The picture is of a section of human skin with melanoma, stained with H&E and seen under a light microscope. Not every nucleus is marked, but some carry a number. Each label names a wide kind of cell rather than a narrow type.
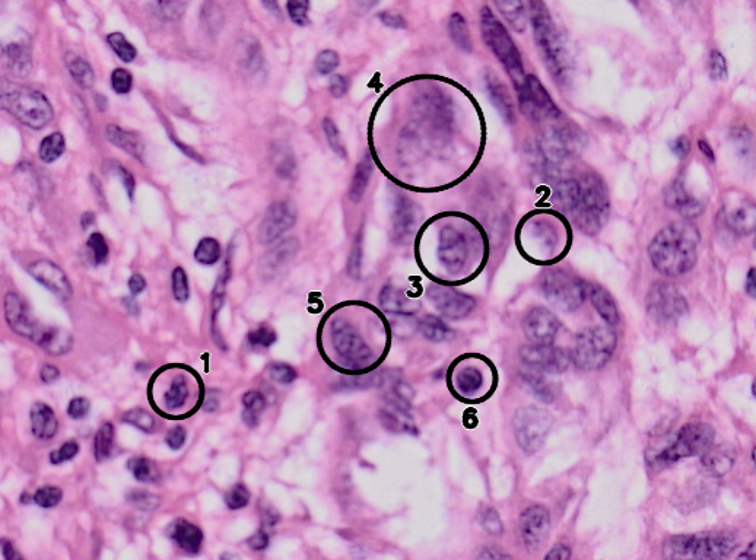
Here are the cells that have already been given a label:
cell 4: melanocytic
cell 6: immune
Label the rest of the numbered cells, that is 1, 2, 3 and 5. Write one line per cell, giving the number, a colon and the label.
1: immune
2: melanocytic
3: melanocytic
5: melanocytic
